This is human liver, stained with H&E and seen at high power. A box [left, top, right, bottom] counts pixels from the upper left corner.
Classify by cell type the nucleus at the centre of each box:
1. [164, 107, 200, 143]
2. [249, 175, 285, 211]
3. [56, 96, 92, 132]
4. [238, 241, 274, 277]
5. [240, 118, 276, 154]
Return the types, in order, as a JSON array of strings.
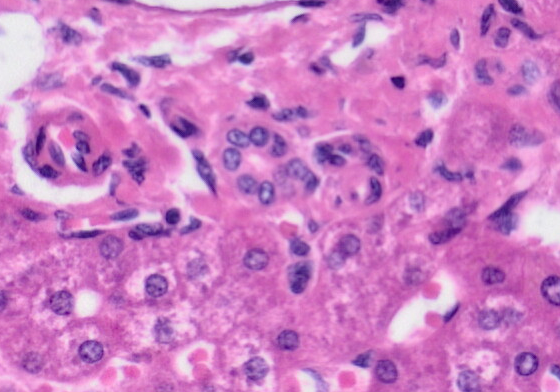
["fibroblast or stellate cell", "cholangiocyte", "fibroblast or stellate cell", "hepatocyte", "cholangiocyte"]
